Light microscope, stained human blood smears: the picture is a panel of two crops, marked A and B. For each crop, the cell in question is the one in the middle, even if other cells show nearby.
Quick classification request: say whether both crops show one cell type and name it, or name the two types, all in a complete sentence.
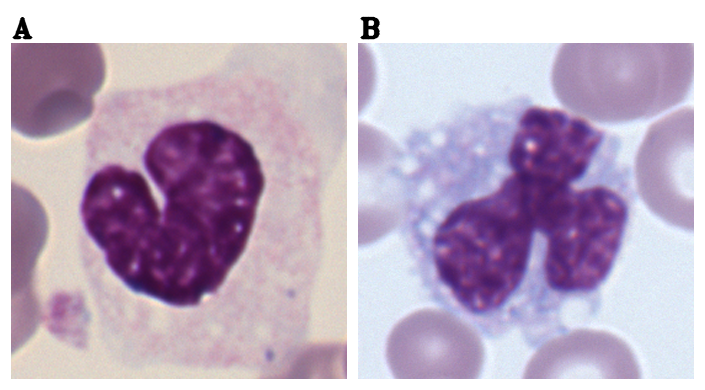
No, crop A features a band neutrophil, while crop B features a monocyte.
